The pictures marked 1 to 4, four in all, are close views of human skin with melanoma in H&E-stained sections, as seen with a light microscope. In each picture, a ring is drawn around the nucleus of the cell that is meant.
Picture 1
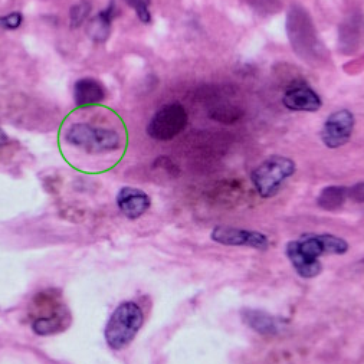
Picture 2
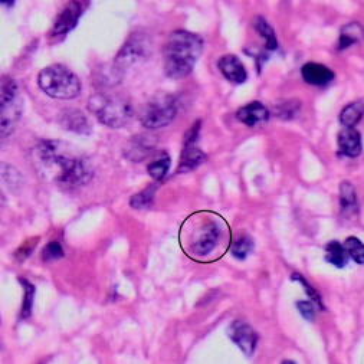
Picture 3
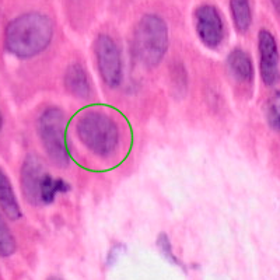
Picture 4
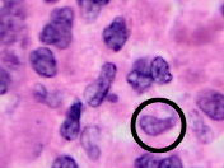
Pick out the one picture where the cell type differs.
3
